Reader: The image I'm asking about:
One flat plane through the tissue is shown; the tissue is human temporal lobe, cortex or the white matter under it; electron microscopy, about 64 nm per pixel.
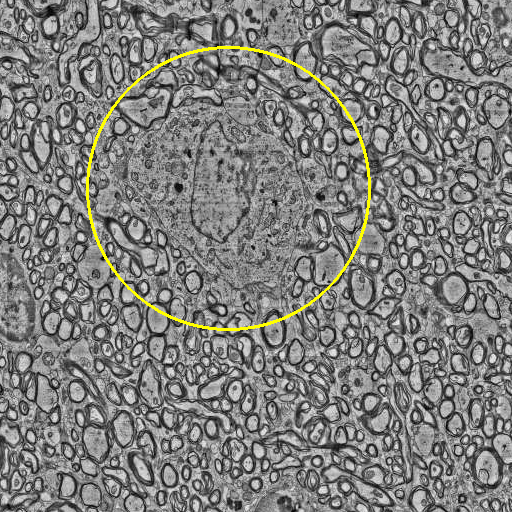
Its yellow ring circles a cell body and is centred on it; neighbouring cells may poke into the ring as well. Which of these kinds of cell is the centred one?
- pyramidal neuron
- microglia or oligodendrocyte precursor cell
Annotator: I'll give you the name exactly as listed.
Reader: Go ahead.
pyramidal neuron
